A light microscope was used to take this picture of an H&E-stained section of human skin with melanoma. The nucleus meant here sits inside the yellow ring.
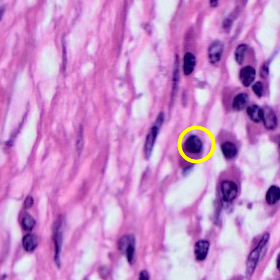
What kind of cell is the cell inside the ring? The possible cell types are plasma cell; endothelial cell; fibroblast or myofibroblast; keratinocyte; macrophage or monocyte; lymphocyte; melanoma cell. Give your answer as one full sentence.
The correct response here is that the cell inside the ring is a plasma cell.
